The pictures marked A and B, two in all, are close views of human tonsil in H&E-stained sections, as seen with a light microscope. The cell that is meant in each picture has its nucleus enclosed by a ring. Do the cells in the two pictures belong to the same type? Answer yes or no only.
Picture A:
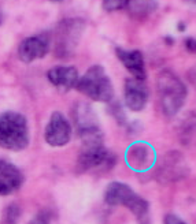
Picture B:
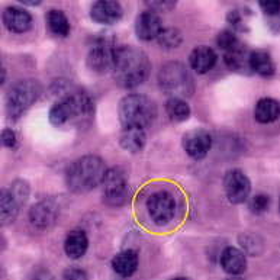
no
